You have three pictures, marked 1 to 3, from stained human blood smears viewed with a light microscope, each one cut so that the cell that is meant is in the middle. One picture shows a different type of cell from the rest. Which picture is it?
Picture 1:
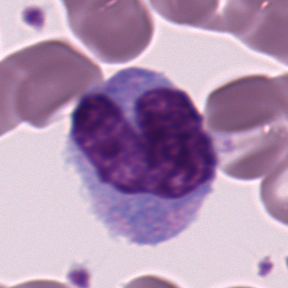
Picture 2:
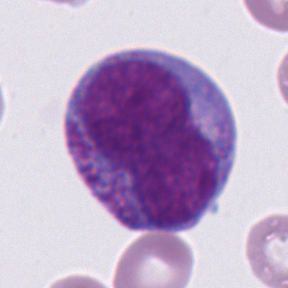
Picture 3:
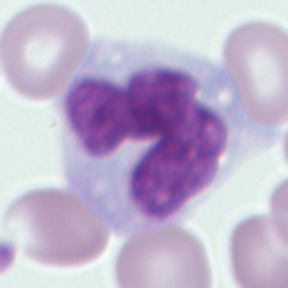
2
